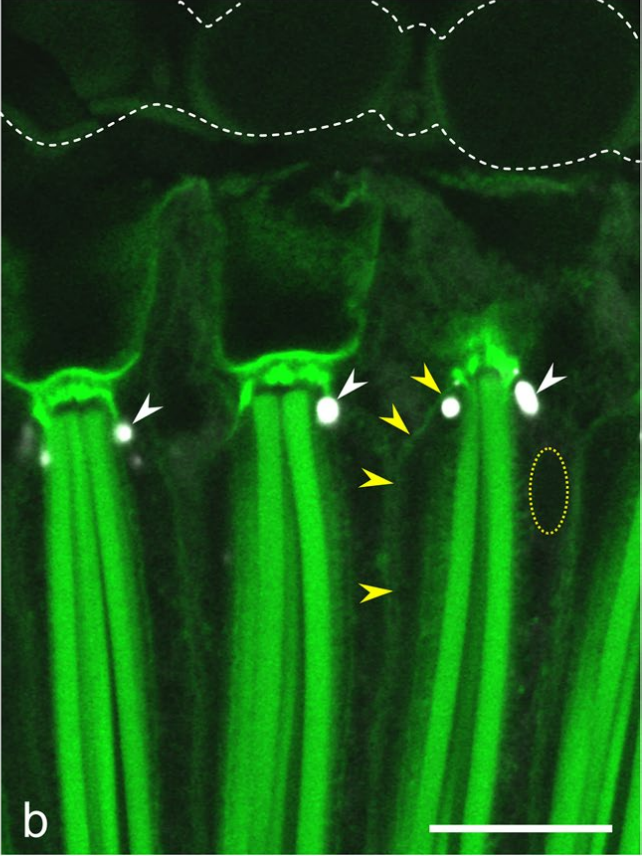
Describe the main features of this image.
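At high magnification, several photoreceptor cells show long bright green rod-like bundles running downward. Each bundle ends at the top in a bright green cap. Small bright white dots sit just beside these upper ends. Above, beyond a dark gap, are dome-shaped outlines of the cornea, which are only faintly green.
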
